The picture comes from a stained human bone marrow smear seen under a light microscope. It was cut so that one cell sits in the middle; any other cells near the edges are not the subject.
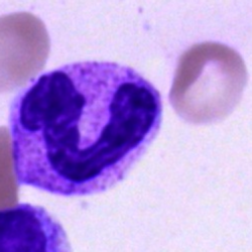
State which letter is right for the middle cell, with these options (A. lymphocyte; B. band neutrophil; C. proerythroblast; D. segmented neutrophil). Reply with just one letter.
B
